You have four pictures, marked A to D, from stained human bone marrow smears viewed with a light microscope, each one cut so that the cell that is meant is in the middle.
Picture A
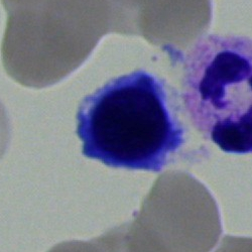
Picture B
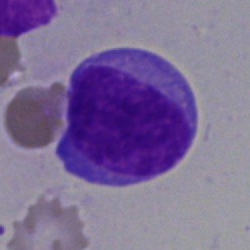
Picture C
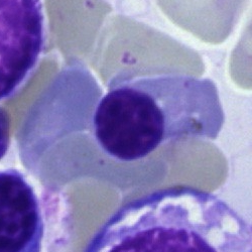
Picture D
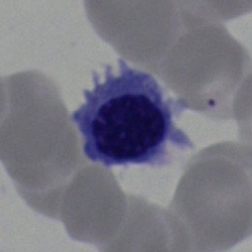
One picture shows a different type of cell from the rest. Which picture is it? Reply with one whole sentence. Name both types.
The others show erythroblasts, but picture B shows a blast.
